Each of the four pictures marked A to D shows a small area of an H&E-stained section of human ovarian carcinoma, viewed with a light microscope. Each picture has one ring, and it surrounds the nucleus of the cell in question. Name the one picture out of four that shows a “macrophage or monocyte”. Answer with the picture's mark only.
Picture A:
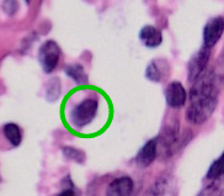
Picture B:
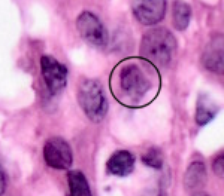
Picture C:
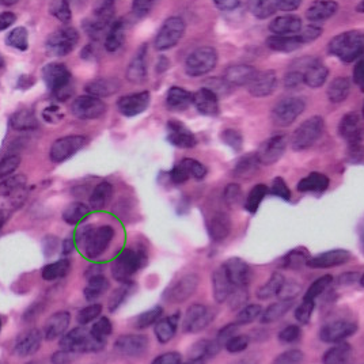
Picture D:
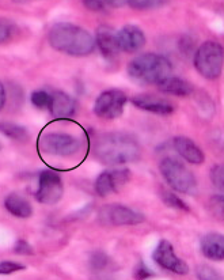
B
